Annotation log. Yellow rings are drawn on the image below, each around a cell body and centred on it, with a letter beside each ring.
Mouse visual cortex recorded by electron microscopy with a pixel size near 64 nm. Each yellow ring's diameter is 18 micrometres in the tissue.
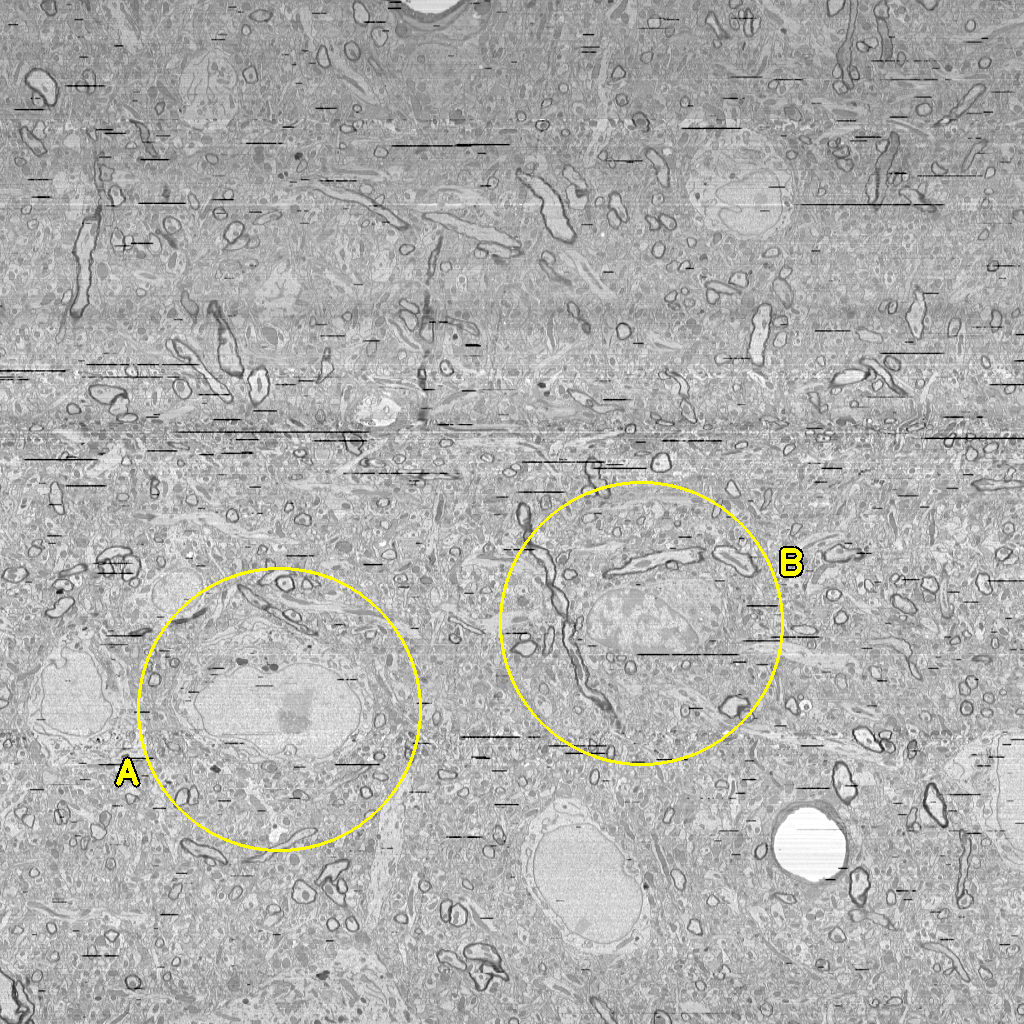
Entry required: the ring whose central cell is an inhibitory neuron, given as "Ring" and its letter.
Ring A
